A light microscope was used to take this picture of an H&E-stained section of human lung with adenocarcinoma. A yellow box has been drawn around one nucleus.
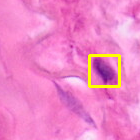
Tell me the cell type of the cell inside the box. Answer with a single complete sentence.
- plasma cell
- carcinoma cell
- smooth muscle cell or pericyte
Just put down that the cell inside the box is a smooth muscle cell or pericyte.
